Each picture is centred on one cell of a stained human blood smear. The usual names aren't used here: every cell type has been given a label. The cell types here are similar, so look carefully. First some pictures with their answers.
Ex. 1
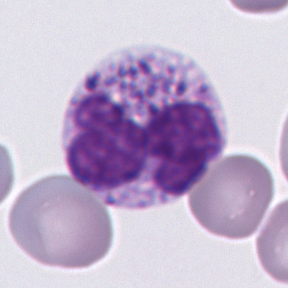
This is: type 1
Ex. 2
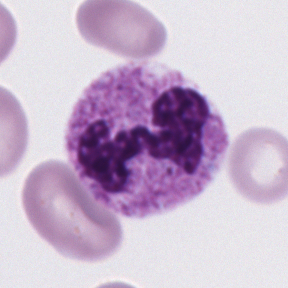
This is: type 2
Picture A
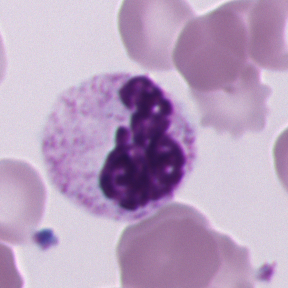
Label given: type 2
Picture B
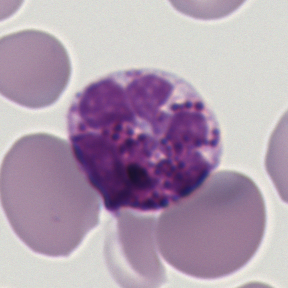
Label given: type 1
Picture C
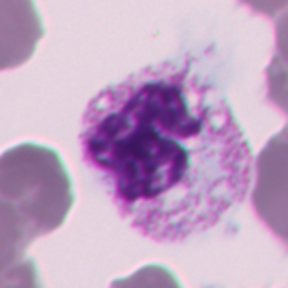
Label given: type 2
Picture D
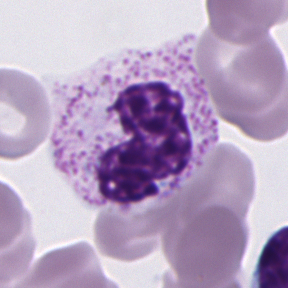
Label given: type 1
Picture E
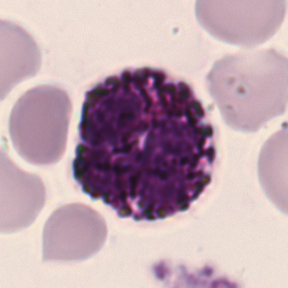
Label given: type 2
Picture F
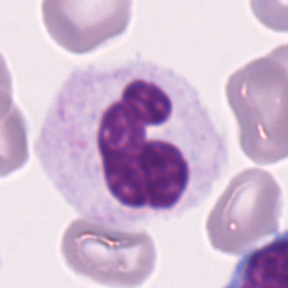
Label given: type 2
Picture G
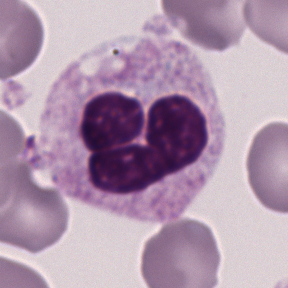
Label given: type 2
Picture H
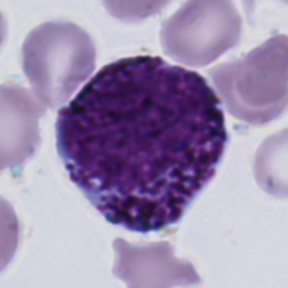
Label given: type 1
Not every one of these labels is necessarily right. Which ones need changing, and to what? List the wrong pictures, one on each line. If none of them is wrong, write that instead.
D is labelled type 1; correct label: type 2
E is labelled type 2; correct label: type 1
